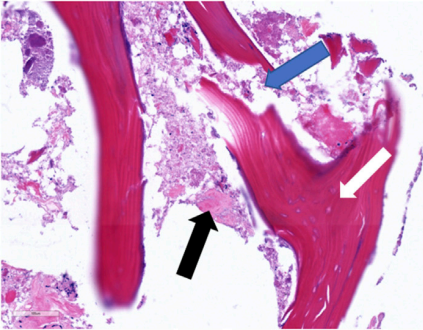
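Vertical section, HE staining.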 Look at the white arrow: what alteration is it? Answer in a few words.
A: Empty lacuna.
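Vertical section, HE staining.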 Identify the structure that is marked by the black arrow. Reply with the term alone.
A: Amorphous substance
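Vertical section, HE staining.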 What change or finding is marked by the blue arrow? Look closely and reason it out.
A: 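Trabecular fracture. The arrow points to a gap where a pink bony trabecula is broken. Separated pieces of trabecula lie on either side of the gap.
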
